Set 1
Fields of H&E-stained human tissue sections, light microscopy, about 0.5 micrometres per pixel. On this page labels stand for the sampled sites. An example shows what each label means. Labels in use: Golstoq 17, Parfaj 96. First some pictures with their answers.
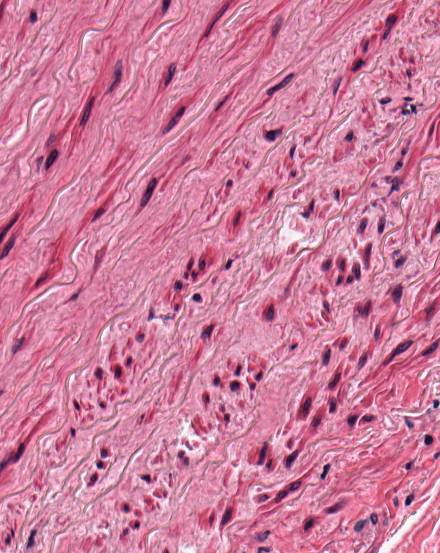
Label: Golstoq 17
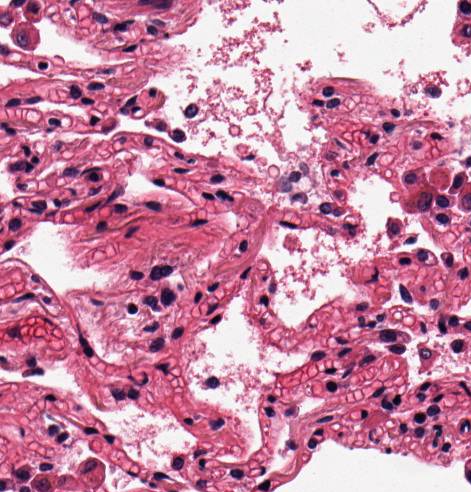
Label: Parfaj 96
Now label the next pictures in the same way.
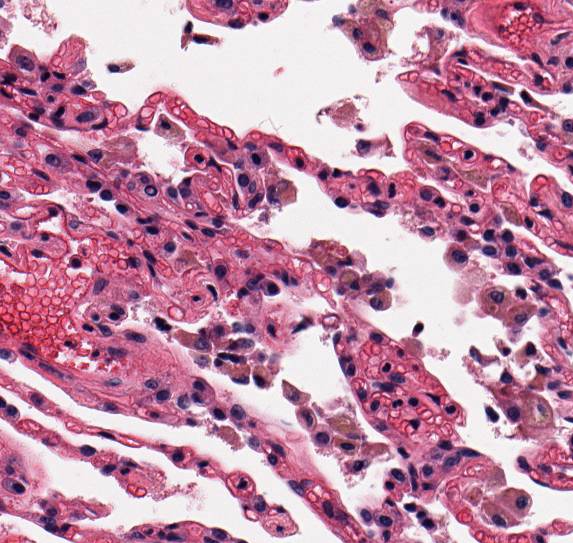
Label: Parfaj 96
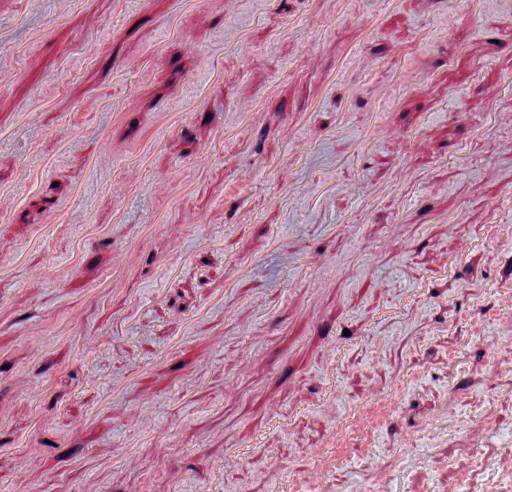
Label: Golstoq 17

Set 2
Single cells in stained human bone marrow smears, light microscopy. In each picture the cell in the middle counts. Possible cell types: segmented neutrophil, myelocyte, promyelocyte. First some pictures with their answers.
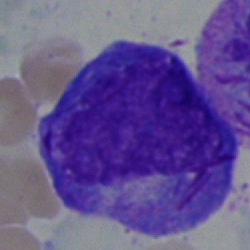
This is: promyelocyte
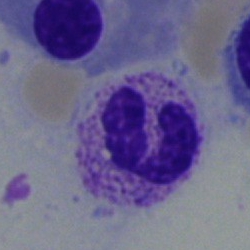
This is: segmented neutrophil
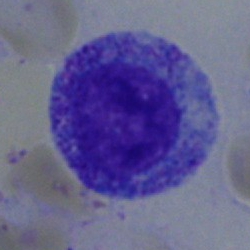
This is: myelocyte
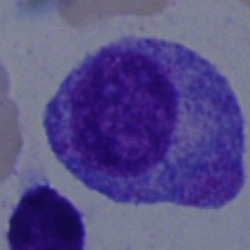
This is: promyelocyte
